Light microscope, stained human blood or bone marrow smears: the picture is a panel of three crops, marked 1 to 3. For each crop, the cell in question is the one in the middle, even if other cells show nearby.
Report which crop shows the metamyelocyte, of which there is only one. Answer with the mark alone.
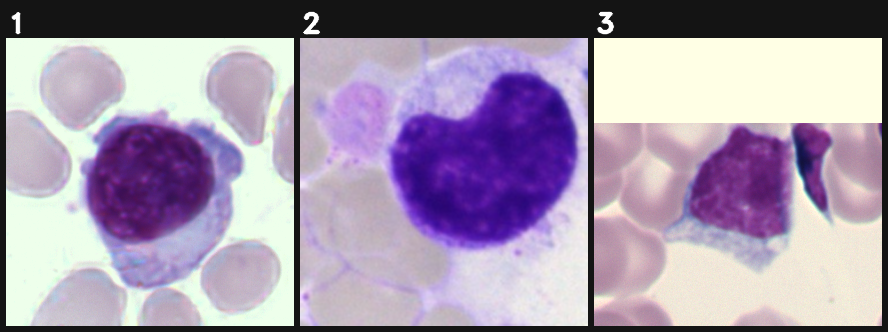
2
